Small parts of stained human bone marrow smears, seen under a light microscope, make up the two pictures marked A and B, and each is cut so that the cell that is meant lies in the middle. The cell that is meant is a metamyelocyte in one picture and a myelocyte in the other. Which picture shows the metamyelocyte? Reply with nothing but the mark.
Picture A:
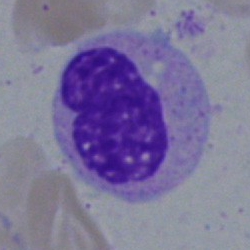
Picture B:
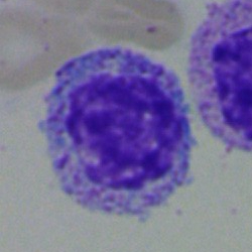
A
